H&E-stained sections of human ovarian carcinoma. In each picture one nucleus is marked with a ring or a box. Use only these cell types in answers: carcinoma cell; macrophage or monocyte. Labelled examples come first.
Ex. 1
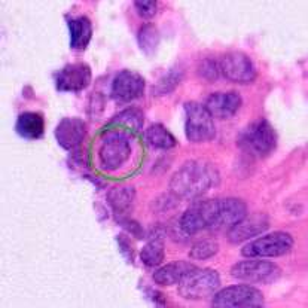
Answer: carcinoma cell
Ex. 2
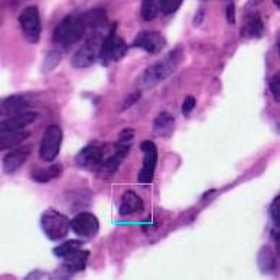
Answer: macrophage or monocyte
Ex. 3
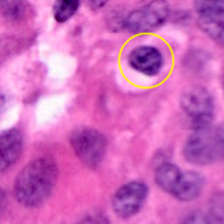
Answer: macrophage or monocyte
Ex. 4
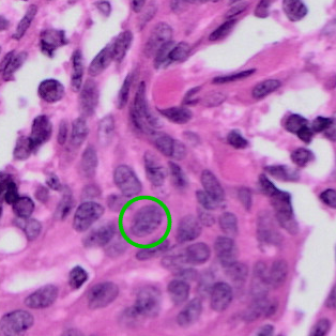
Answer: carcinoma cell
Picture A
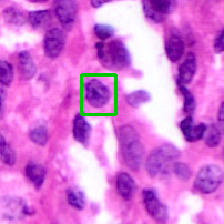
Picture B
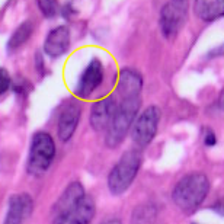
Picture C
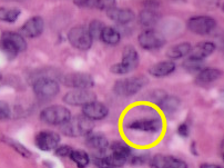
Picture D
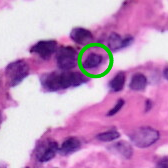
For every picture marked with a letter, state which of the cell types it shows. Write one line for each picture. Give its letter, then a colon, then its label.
A: macrophage or monocyte
B: carcinoma cell
C: carcinoma cell
D: macrophage or monocyte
